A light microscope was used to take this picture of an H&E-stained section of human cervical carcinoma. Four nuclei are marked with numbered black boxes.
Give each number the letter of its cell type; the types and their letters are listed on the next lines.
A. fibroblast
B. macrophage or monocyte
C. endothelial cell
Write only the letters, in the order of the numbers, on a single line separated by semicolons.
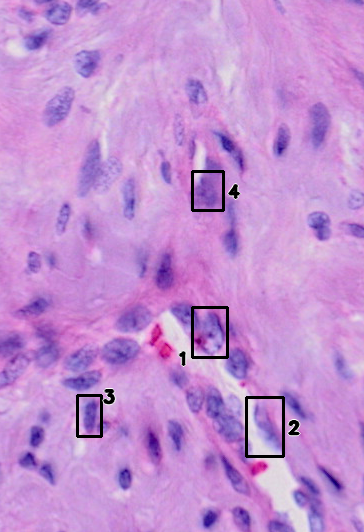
C; C; A; C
